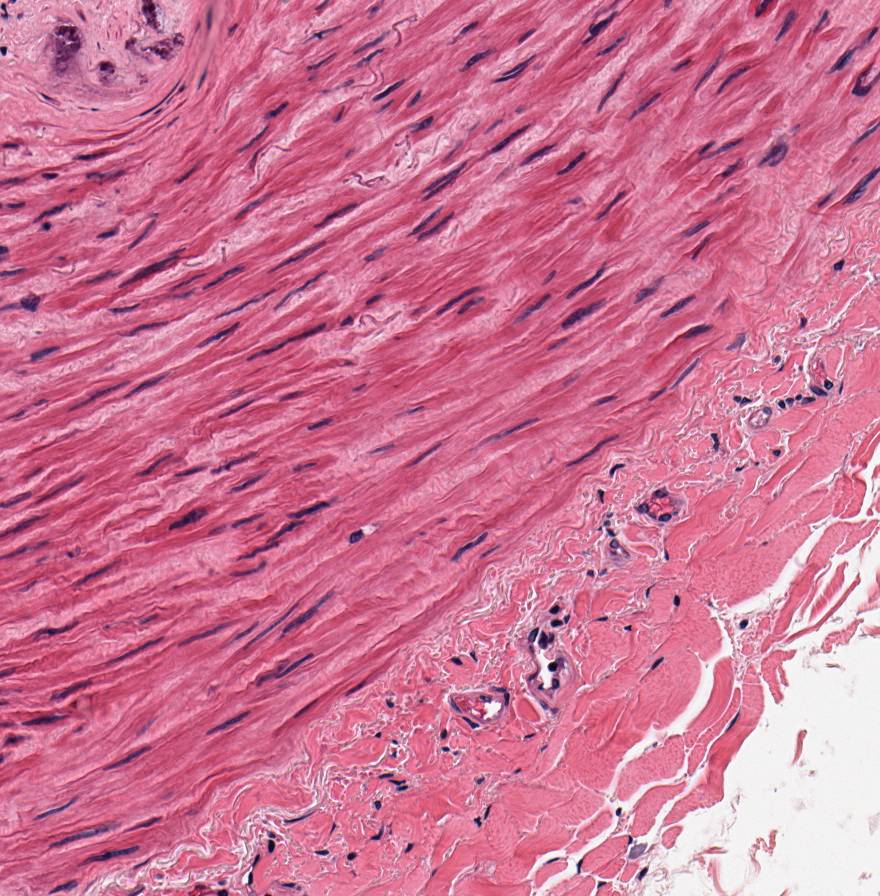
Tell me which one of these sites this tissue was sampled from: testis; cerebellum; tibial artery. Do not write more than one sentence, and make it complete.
From the tibial artery came the tissue in this section.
